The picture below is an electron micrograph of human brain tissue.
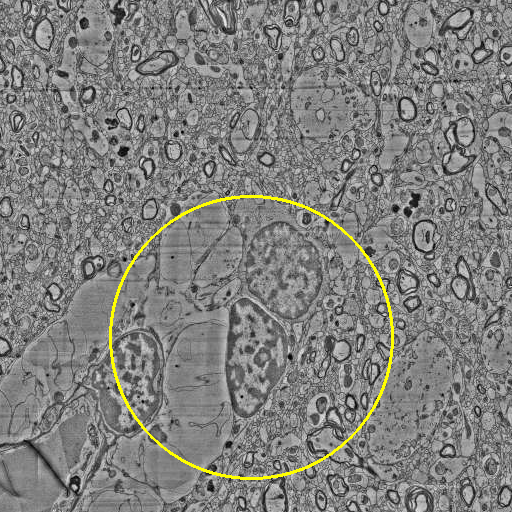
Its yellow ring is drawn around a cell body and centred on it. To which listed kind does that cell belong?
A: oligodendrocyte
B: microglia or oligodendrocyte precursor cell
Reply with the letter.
B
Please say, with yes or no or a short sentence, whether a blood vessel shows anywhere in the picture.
Yes.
